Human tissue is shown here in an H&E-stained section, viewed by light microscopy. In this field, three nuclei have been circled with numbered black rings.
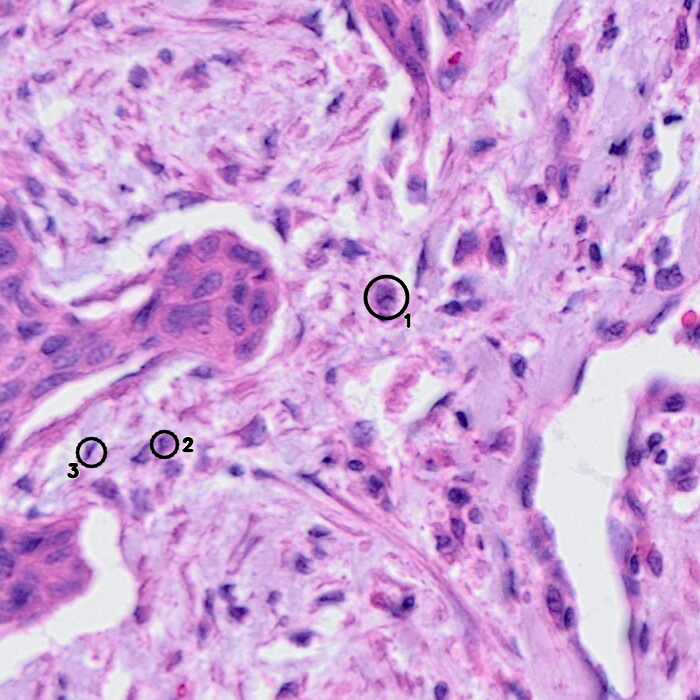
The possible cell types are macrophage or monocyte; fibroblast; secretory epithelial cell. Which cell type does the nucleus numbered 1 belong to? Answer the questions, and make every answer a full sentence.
The nucleus labeled 1 belongs to a macrophage or monocyte.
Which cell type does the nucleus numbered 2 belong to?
Here, the cell given the number 2 is a fibroblast.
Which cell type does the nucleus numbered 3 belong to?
Recognised here as a fibroblast is the cell numbered 3.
